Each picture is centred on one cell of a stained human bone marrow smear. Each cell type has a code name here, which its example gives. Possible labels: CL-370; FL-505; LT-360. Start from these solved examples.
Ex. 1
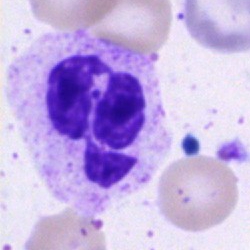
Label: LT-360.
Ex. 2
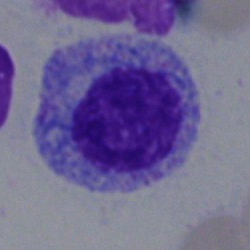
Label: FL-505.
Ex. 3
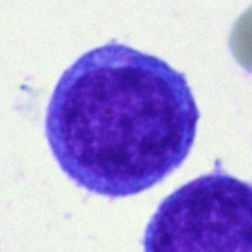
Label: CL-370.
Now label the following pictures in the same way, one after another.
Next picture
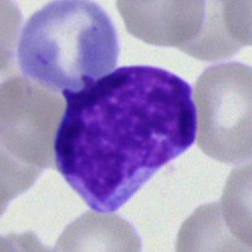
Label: CL-370.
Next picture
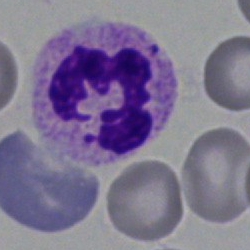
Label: LT-360.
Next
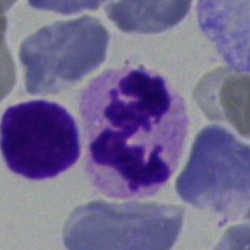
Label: LT-360.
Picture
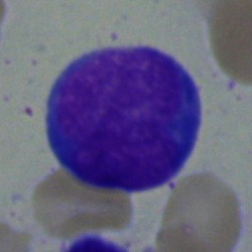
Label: CL-370.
